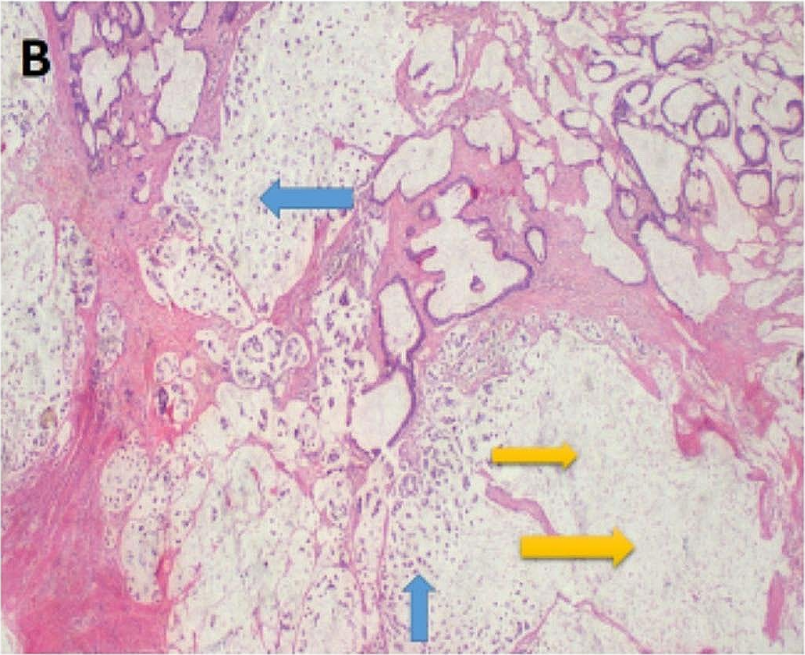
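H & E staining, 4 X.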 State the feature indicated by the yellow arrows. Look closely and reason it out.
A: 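The yellow arrows point into a large pale, almost acellular expanse. The pale material is faintly bluish-grey and wispy, not empty. Pink fibrous septa border these pale pools. The answer: mucin lakes.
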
